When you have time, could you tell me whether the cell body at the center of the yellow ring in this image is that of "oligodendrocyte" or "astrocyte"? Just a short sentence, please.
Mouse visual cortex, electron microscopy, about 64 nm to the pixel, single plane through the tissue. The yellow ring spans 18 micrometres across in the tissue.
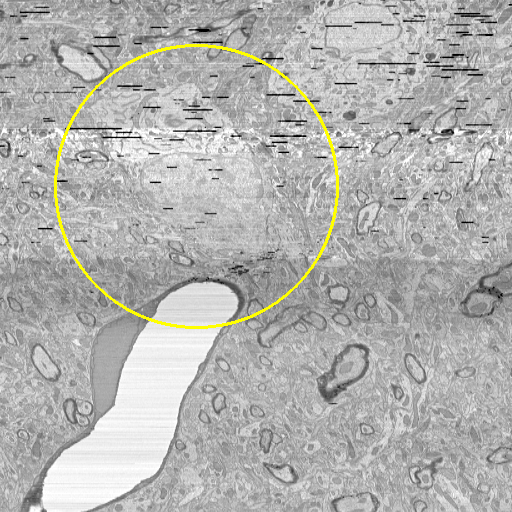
The cell body at the center of the ring is that of an oligodendrocyte.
